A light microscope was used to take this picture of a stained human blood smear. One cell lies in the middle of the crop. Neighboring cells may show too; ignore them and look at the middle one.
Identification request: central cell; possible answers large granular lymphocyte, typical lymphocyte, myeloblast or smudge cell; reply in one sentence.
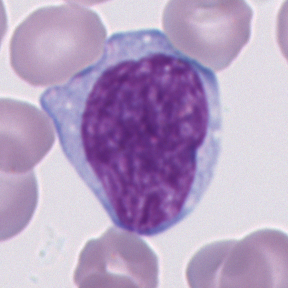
The crop shows a myeloblast in its centre.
